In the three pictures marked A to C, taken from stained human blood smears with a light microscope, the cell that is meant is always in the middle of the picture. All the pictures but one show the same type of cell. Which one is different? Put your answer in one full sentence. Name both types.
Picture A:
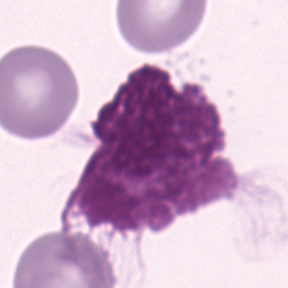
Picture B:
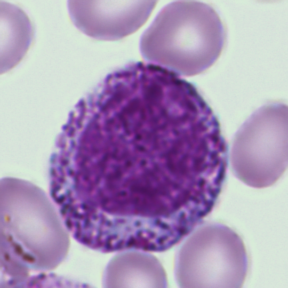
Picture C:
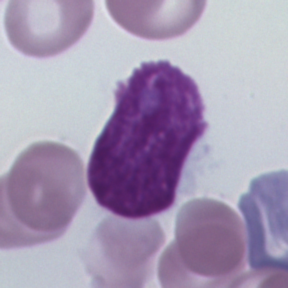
The different one is picture B; it shows a myelocyte, whereas all the others show smudge cells.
